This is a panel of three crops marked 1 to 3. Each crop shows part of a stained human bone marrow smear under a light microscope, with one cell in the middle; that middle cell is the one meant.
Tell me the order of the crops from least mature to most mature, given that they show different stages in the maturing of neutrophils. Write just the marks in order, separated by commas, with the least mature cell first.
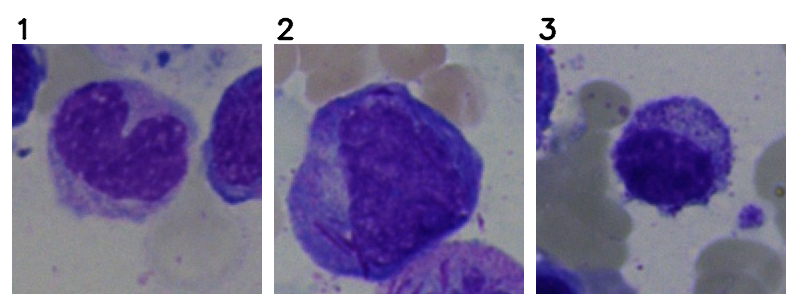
2, 3, 1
